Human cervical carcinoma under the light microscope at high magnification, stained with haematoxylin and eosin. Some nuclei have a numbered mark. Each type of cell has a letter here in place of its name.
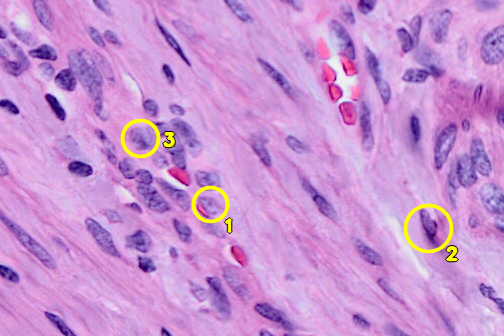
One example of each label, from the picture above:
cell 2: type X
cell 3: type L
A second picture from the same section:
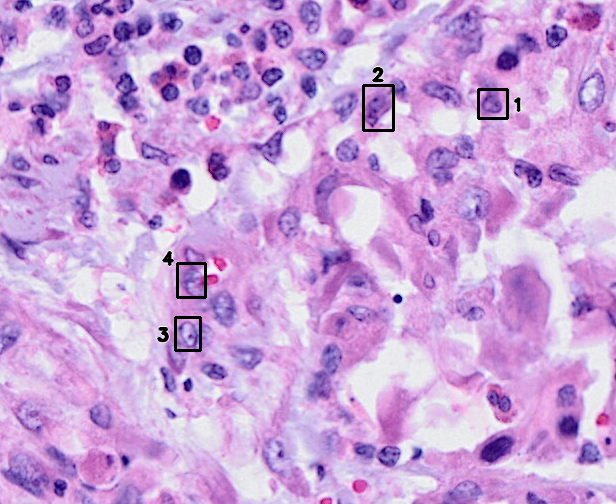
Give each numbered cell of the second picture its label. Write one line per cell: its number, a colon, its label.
1: type X
2: type X
3: type L
4: type L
